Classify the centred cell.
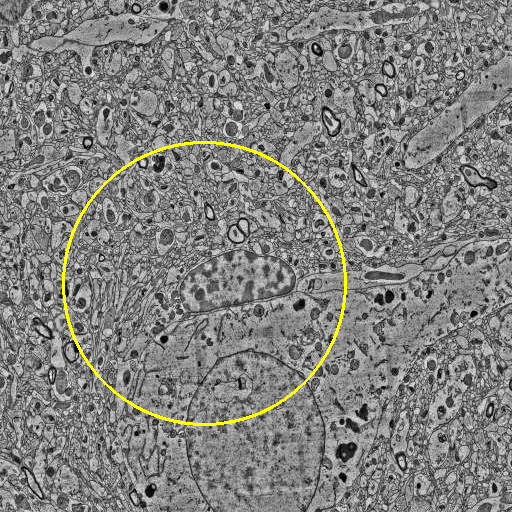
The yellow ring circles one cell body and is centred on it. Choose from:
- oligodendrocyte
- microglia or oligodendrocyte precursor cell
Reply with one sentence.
The ring is centred on a microglial cell or oligodendrocyte precursor cell.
